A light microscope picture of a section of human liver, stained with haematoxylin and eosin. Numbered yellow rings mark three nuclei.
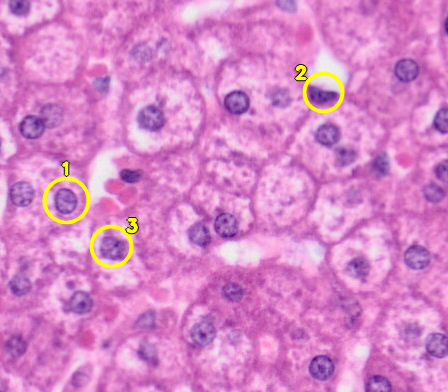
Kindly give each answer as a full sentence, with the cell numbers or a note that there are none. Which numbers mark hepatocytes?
As for the cells numbered 1 and 3, they are hepatocytes.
